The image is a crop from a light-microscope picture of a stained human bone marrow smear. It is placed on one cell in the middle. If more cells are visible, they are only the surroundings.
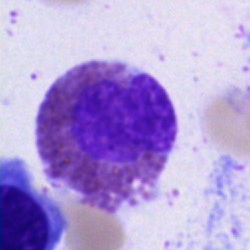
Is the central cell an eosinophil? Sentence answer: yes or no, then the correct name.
Yes, the centred cell is categorised as an eosinophil.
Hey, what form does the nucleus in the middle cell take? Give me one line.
Just one compact nuclear mass here, round, oval or kidney-shaped.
